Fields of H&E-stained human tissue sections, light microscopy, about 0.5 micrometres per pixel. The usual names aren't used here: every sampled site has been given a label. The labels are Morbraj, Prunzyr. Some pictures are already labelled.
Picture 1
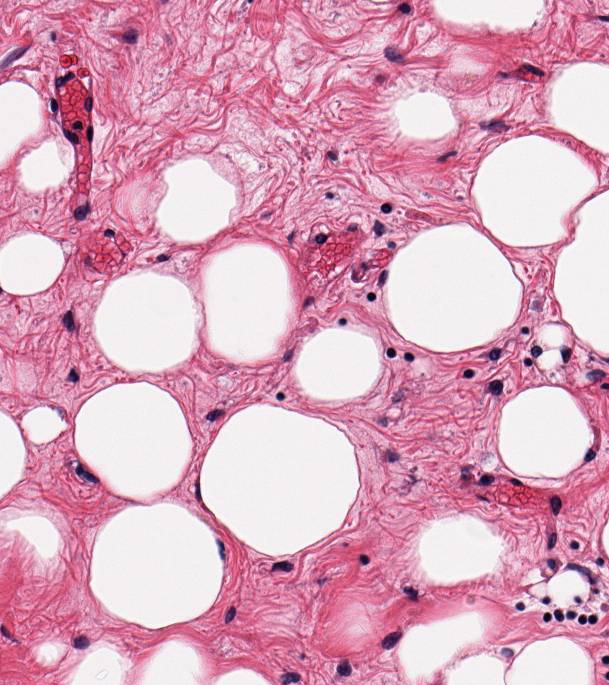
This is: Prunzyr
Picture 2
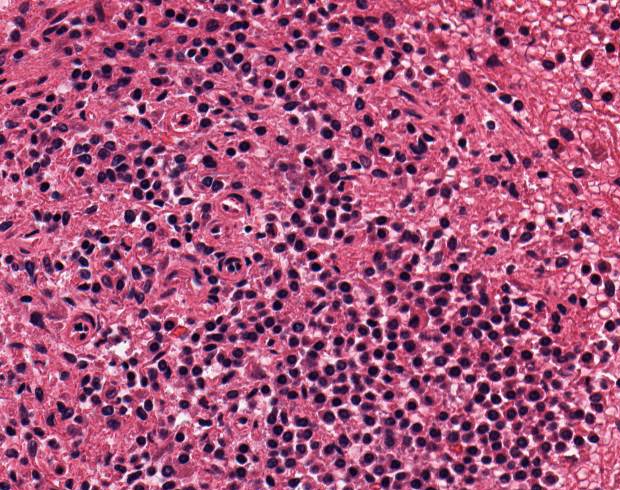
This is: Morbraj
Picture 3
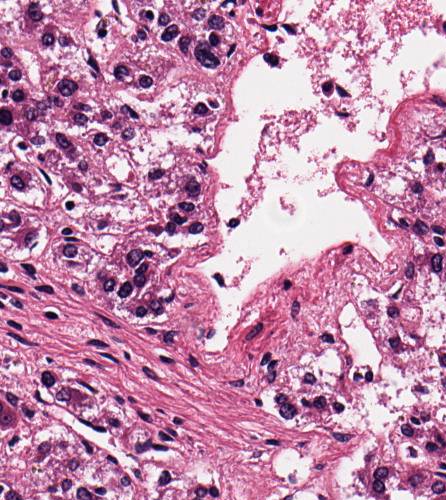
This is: Prunzyr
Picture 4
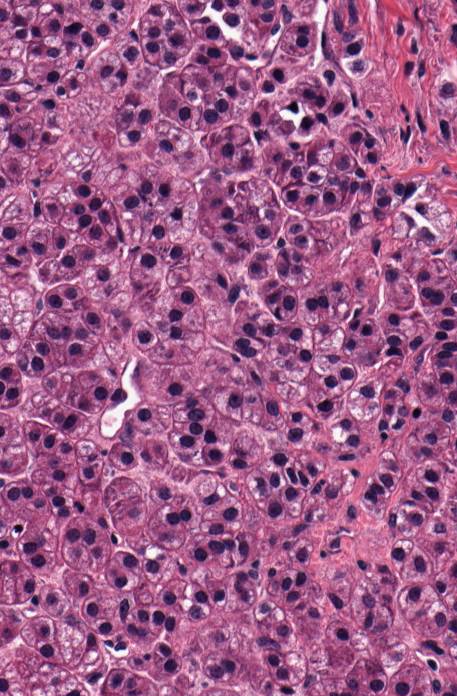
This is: Prunzyr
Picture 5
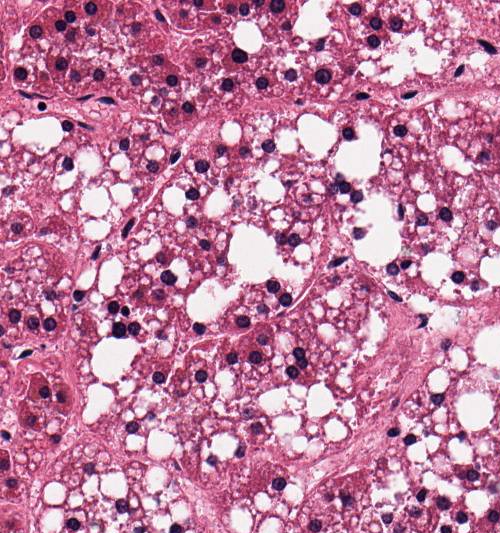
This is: Prunzyr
